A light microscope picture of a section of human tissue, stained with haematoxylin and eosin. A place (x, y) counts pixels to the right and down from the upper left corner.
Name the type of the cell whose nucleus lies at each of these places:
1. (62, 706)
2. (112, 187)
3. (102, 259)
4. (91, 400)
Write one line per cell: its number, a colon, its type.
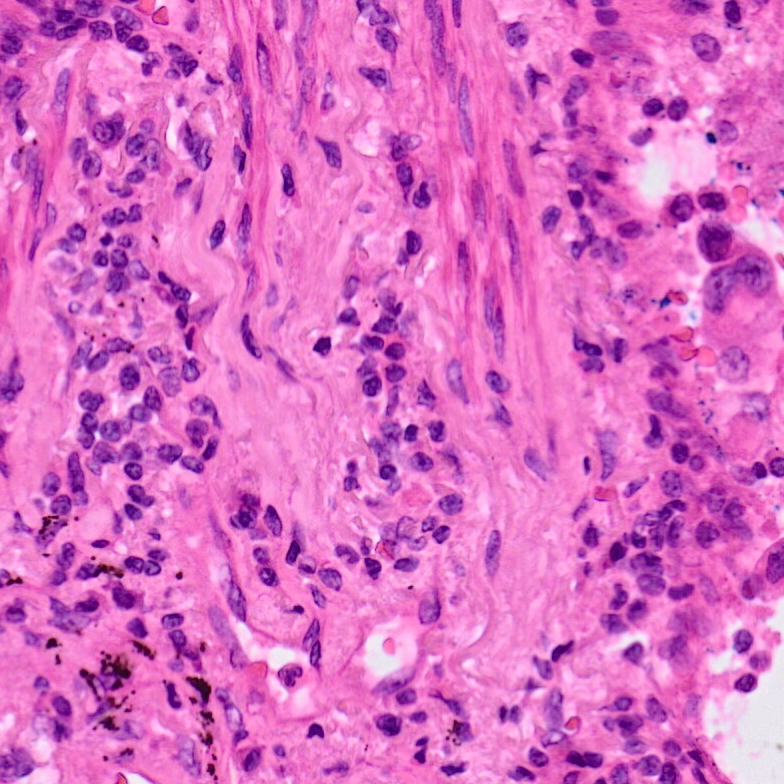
1: plasma cell
2: lymphocyte
3: lymphocyte
4: lymphocyte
